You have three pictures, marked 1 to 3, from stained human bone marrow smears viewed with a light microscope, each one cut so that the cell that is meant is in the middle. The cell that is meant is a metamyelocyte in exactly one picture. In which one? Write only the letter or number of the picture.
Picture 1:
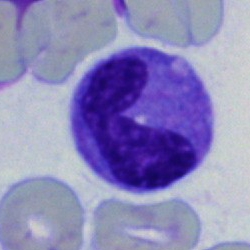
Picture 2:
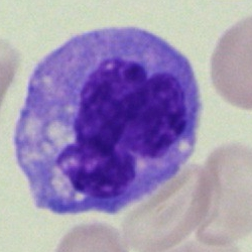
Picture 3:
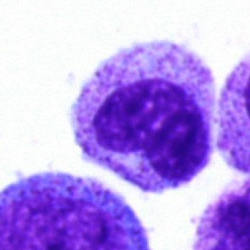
3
